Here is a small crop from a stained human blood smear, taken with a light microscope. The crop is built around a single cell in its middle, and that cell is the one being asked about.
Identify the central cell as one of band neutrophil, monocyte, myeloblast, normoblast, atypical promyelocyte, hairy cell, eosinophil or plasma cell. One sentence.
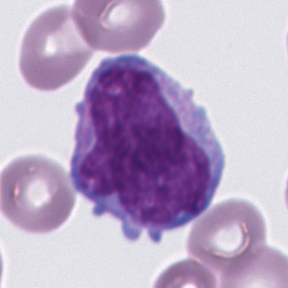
The cell under consideration, at the middle of the crop, is an atypical promyelocyte.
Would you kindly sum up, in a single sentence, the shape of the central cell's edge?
Along the periphery, ragged stretches or projections make the outline irregular.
